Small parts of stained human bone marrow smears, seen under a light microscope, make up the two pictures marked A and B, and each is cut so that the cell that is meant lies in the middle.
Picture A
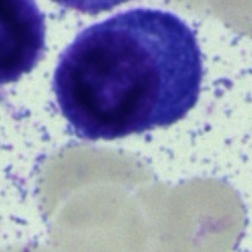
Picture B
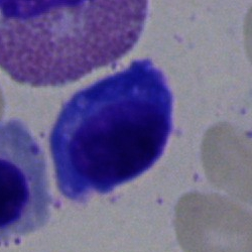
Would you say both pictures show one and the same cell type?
yes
